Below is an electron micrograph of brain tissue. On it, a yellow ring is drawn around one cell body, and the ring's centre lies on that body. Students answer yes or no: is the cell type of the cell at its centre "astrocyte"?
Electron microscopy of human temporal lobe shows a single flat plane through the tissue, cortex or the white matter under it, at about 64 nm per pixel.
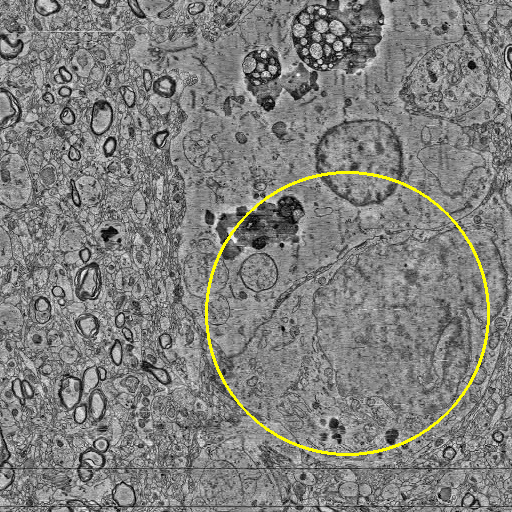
no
